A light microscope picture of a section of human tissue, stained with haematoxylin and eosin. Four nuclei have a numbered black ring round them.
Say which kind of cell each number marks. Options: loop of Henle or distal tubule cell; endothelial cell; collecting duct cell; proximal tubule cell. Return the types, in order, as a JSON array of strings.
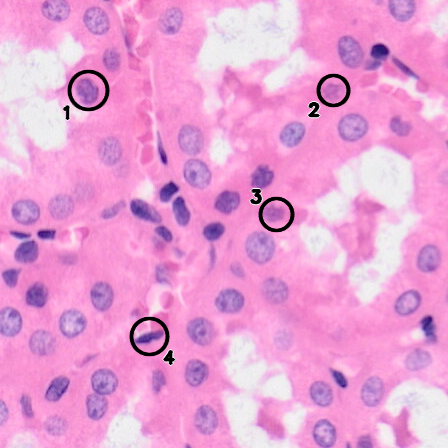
["proximal tubule cell", "proximal tubule cell", "proximal tubule cell", "endothelial cell"]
